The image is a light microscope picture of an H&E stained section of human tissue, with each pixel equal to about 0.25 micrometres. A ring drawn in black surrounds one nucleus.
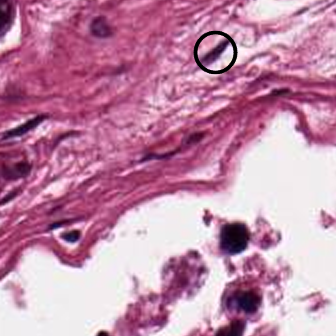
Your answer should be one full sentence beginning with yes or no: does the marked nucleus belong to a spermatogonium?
No, the marked nucleus is located in a supporting cell and not in a spermatogonium.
